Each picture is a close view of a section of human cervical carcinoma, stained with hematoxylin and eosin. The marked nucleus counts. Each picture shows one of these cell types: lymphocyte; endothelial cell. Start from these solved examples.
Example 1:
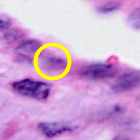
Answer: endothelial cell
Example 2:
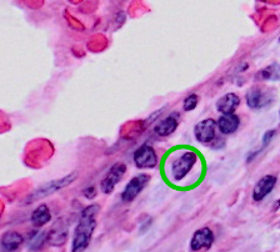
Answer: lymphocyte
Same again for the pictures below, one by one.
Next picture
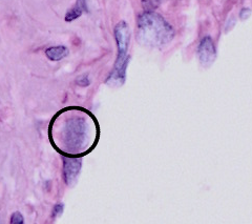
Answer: endothelial cell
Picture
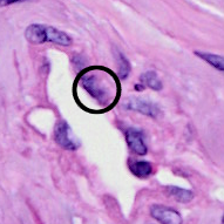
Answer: endothelial cell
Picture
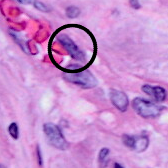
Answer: endothelial cell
